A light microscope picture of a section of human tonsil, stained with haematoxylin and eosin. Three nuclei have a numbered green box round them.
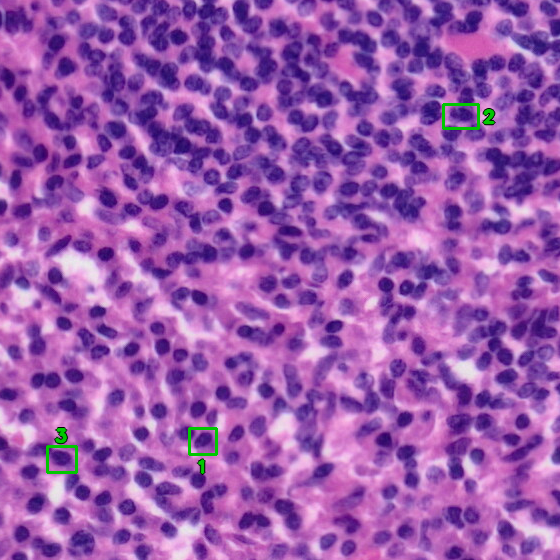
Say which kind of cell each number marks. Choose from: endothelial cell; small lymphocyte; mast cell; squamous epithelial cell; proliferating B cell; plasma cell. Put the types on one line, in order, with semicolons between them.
plasma cell; small lymphocyte; plasma cell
